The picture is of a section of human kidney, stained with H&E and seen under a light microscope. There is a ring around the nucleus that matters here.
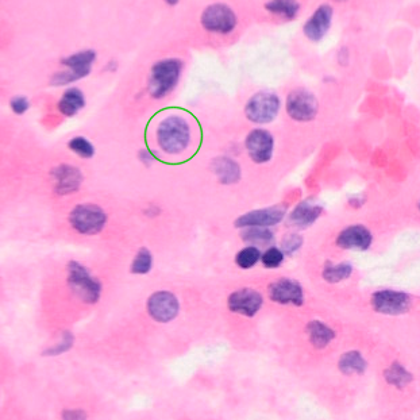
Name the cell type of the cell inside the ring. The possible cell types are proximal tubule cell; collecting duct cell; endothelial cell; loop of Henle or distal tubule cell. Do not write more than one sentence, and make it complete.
The classification of the cell inside the ring is as a loop of Henle or distal tubule cell.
